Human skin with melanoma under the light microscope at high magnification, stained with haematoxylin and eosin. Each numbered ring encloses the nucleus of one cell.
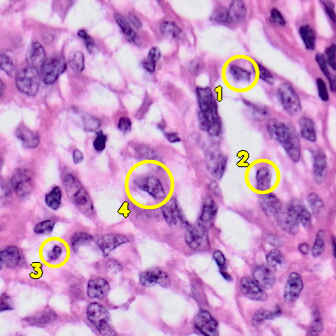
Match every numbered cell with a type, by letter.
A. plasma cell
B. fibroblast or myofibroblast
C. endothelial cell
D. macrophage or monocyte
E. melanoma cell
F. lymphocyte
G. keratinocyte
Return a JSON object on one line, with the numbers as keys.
{"1": "E", "2": "E", "3": "F", "4": "E"}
